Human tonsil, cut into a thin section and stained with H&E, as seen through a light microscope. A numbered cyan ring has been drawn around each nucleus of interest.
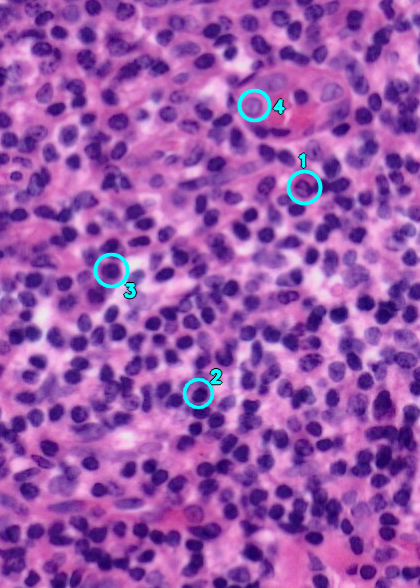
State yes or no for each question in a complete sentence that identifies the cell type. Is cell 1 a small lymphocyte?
No, the cell carrying number 1 is a plasma cell rather than a small lymphocyte.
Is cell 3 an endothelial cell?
No, cell 3 is identified not as an endothelial cell but as a plasma cell.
